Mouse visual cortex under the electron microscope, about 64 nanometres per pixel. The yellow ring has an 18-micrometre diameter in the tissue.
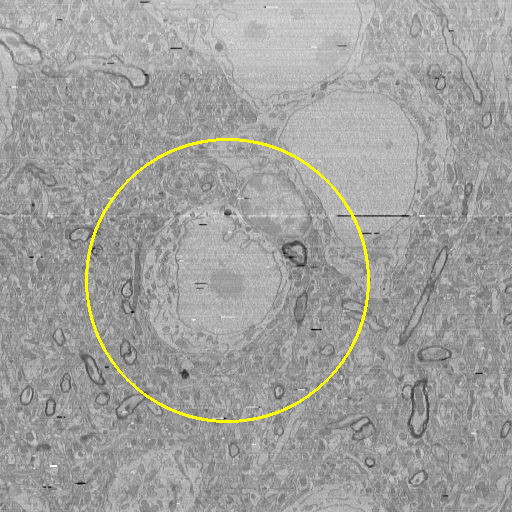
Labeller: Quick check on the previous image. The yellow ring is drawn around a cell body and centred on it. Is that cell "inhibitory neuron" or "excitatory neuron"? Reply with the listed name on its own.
inhibitory neuron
